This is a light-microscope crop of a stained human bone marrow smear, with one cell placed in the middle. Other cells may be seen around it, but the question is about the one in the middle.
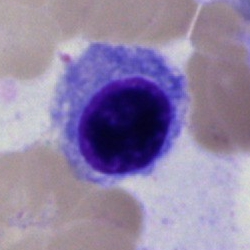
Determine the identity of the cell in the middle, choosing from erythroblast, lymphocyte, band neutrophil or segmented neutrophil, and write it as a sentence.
The central element of this crop is a cell, namely an erythroblast.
